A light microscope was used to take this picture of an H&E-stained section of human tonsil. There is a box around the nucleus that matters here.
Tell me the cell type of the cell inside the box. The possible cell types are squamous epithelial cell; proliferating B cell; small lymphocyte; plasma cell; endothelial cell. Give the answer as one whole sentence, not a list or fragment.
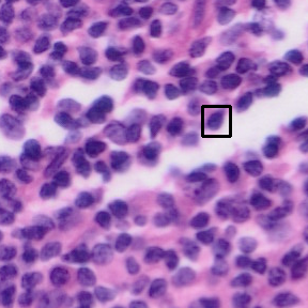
Cytologically, the cell inside the box is to be regarded as a small lymphocyte.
